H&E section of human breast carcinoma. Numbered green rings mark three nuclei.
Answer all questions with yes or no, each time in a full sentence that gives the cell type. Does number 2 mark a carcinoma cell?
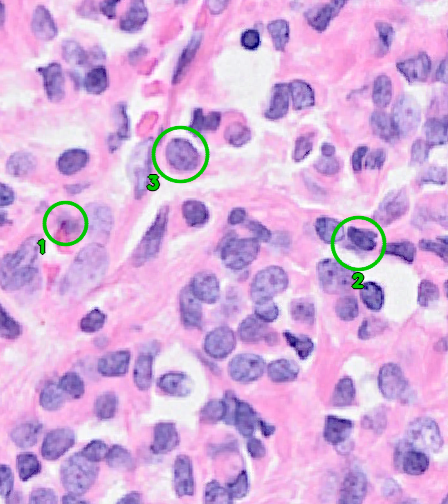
Yes, regarding number 2, the cell is a carcinoma cell.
